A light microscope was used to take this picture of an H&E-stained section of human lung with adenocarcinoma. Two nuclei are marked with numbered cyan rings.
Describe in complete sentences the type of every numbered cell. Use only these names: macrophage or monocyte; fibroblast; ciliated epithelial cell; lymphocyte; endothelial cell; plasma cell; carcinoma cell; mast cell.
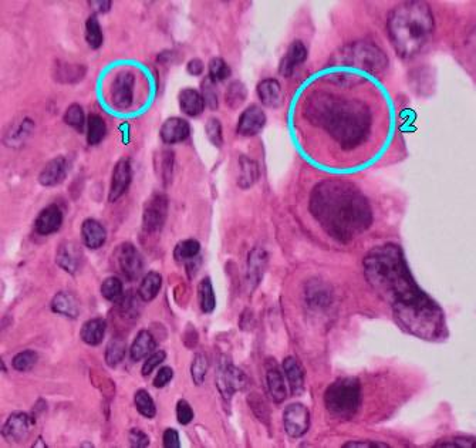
Cell 1 is a lymphocyte. Cell 2 is a carcinoma cell.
